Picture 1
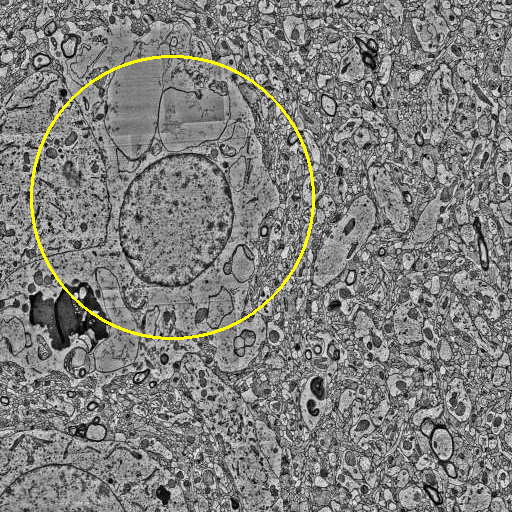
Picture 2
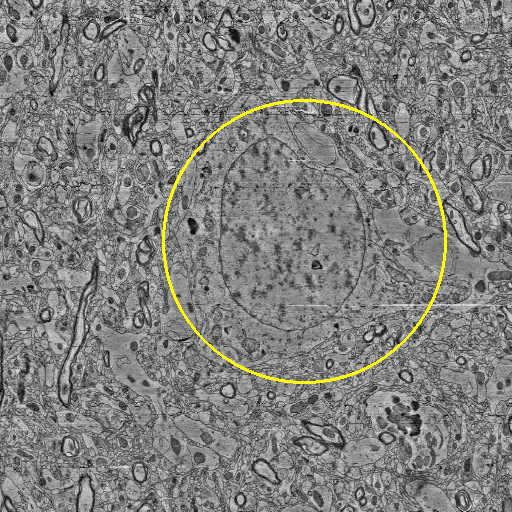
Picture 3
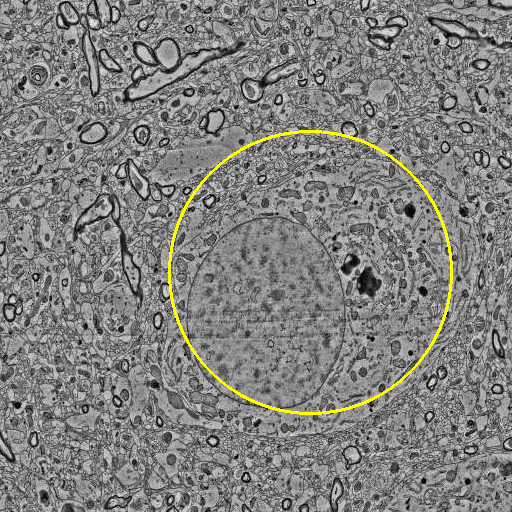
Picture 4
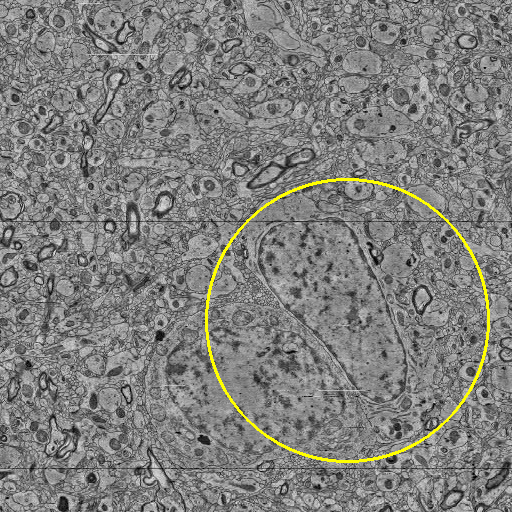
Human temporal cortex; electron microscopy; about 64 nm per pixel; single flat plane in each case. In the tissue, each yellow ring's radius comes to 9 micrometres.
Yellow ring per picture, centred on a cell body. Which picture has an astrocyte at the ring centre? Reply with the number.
1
